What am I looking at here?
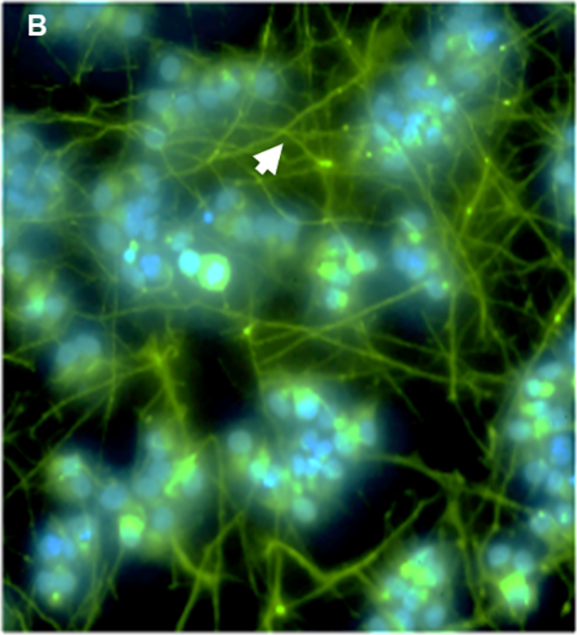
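Cultured neuronal cells lie in scattered clusters of rounded cell bodies with blue nuclei. Long, thin green processes extend from the clusters. These processes branch, cross one another and form a dense network over the dark spaces between clusters. Some cell bodies within the clusters also show green fluorescence.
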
